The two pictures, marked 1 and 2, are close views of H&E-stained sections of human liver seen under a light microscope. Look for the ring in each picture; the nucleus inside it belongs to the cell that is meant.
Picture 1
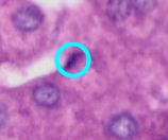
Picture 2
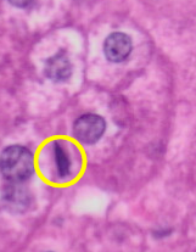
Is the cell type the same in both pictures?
yes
